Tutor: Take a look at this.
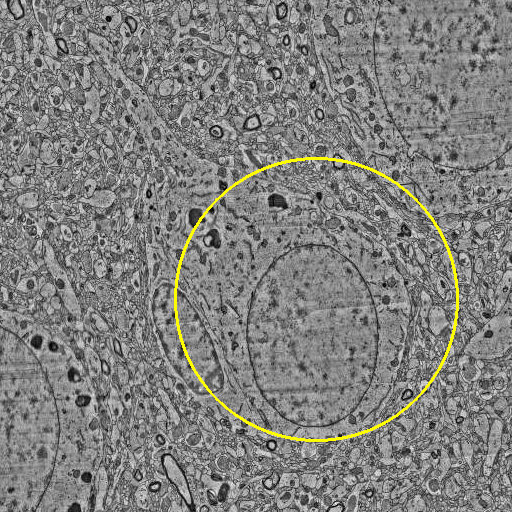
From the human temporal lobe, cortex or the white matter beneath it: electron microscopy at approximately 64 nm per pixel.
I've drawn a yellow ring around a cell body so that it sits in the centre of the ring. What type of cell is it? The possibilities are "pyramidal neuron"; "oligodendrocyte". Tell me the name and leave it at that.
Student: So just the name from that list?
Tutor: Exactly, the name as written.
pyramidal neuron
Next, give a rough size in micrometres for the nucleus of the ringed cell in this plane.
The ringed cell's nucleus is about 12 micrometres long and 9 micrometres wide in this plane.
